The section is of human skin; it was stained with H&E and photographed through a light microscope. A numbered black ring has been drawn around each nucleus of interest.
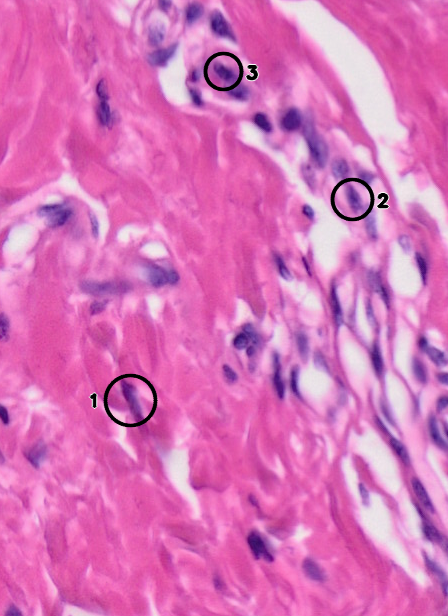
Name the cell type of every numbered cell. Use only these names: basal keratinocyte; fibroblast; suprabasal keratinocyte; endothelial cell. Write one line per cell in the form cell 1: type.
cell 1: fibroblast
cell 2: endothelial cell
cell 3: endothelial cell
